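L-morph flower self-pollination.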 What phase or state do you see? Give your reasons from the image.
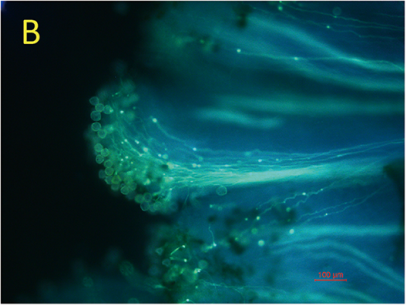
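Microspore germination. A cluster of round grains sits at the tip of a rounded lobe. Thin fluorescent threads run from the grains into the tissue to the right.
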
